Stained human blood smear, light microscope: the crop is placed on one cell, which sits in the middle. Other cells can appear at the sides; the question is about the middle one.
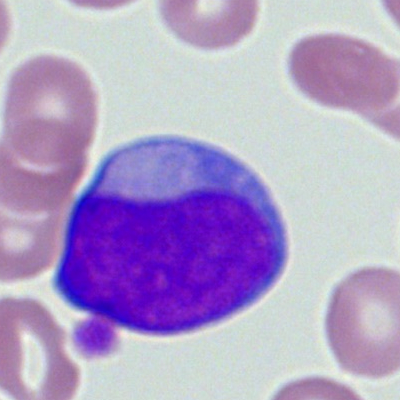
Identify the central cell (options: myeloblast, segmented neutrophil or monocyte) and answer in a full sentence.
The cell of interest, located centrally, is a myeloblast.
